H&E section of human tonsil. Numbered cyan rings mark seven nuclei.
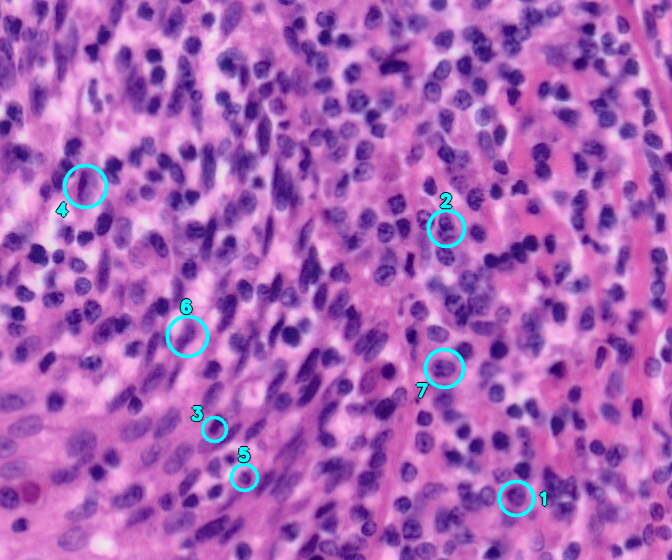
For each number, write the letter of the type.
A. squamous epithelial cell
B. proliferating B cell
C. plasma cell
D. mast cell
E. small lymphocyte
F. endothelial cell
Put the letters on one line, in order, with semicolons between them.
C; C; A; A; A; A; C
